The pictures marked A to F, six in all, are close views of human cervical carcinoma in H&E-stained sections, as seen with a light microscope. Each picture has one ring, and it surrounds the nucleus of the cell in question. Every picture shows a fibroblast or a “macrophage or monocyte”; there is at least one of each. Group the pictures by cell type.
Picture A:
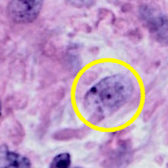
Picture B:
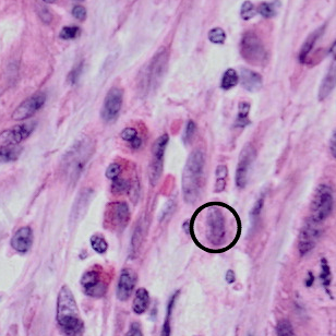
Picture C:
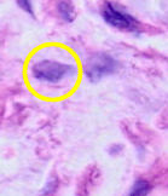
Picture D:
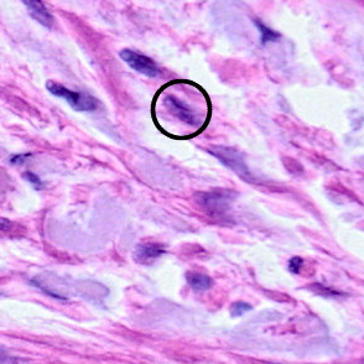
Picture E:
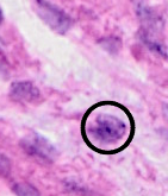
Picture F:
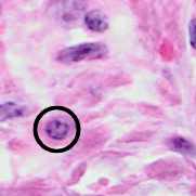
A: fibroblast
B: macrophage or monocyte
C: fibroblast
D: fibroblast
E: macrophage or monocyte
F: macrophage or monocyte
